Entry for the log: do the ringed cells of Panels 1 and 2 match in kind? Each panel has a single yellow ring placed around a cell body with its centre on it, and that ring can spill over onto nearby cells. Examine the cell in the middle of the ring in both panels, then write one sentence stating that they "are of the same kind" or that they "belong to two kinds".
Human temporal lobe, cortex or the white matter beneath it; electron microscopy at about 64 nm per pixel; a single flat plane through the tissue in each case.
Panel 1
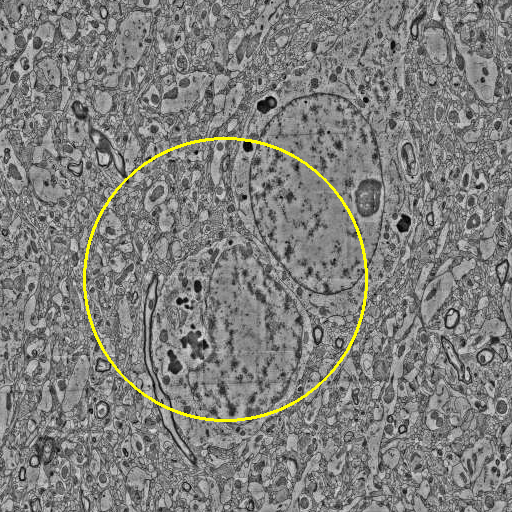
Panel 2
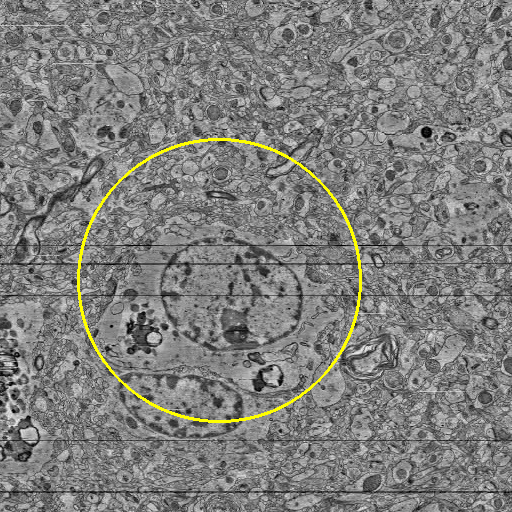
The centre cell of Panel 1's ring and that of Panel 2's ring belong to two kinds.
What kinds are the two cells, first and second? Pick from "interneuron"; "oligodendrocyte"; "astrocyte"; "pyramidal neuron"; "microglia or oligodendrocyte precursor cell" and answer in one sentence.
The second picture holds an astrocyte in its ring, and the first holds an interneuron.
